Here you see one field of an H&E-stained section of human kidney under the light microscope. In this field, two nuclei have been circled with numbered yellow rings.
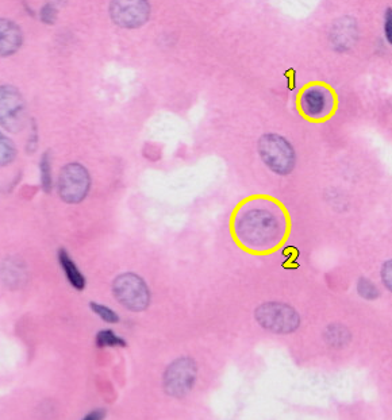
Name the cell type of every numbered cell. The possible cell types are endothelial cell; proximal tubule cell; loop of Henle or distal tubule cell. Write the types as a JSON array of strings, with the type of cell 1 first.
["endothelial cell", "proximal tubule cell"]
